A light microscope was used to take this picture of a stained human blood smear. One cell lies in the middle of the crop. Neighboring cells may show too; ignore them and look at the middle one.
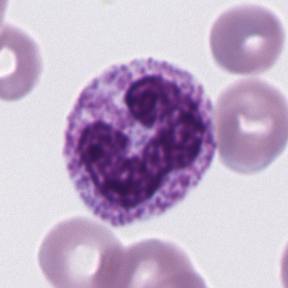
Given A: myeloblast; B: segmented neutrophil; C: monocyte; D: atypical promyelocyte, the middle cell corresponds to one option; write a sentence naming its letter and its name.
Seen at the centre of the crop is a segmented neutrophil, so option B is correct.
